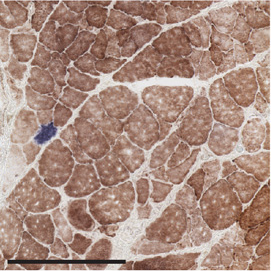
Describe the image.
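This is a cross-section of muscle with tightly packed polygonal fibers stained brown, separated by thin pale septa. Many fibers show fine pale dots within their brown cytoplasm. A single fiber at the left stains blue rather than brown.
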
